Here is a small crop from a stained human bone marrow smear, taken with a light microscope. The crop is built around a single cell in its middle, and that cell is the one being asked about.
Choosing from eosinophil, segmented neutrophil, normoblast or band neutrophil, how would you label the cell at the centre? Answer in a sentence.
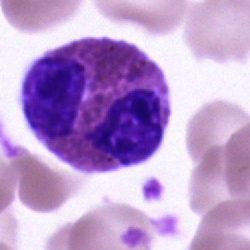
The crop shows an eosinophil in its centre.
